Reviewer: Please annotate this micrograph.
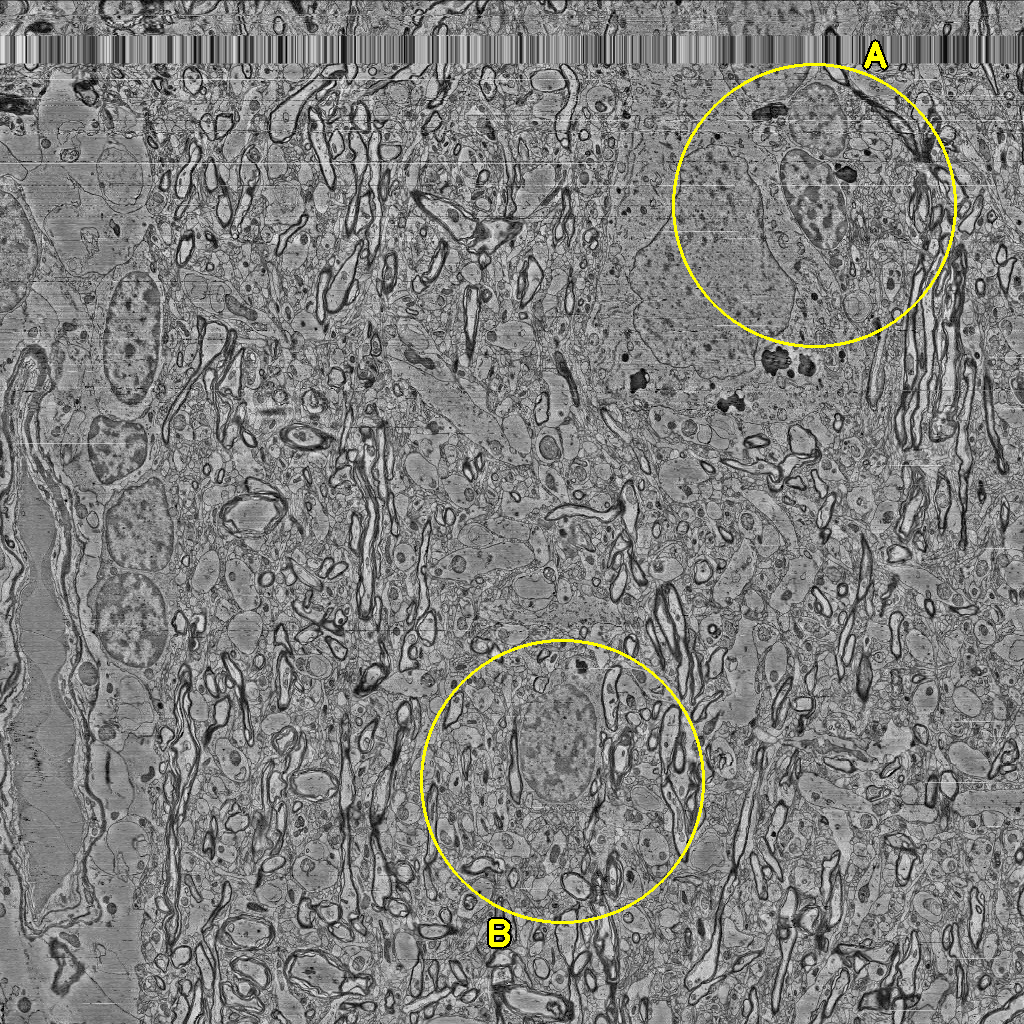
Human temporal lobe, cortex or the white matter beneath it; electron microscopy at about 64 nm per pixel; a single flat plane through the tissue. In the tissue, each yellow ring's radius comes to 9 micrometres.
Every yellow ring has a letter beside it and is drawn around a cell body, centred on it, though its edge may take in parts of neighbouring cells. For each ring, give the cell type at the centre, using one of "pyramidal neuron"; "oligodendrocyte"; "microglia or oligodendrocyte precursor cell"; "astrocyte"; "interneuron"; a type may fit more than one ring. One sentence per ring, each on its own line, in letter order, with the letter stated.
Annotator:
The cell in the middle of ring A is a microglial cell or oligodendrocyte precursor cell.
The cell in the middle of ring B is an oligodendrocyte.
